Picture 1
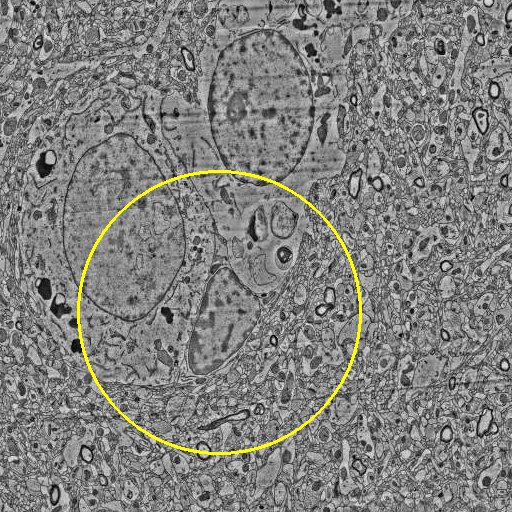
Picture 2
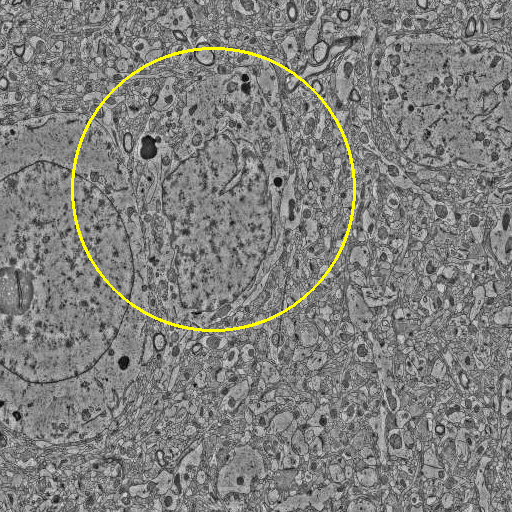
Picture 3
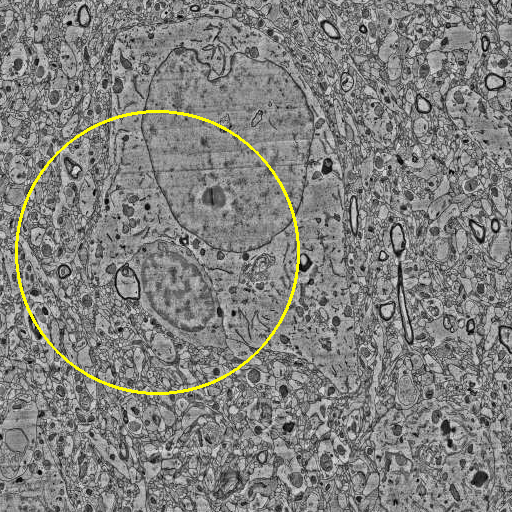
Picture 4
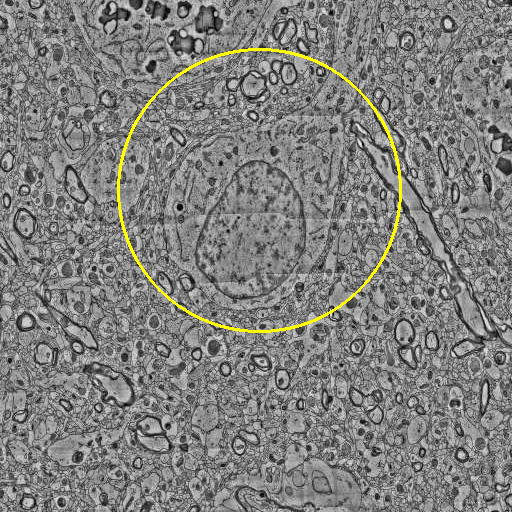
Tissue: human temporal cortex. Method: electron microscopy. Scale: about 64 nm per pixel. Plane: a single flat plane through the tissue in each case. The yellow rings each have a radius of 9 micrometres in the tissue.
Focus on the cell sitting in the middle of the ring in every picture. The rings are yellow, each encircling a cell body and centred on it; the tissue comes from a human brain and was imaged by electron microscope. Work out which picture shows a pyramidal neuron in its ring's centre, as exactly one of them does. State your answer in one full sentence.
In picture 4, the ring is centred on the cell in question.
